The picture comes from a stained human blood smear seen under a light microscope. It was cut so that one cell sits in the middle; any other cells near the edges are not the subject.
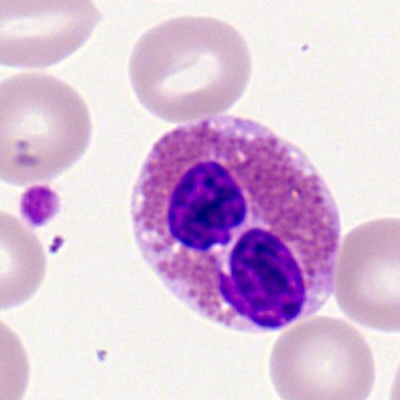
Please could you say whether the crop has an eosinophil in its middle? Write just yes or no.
yes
